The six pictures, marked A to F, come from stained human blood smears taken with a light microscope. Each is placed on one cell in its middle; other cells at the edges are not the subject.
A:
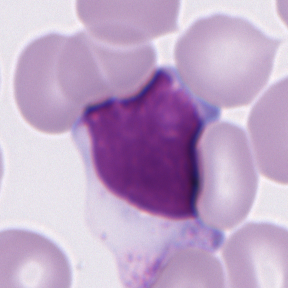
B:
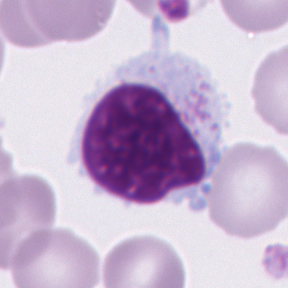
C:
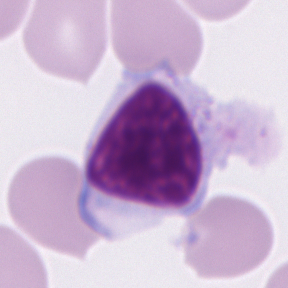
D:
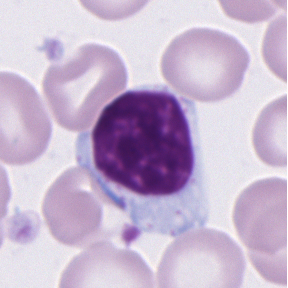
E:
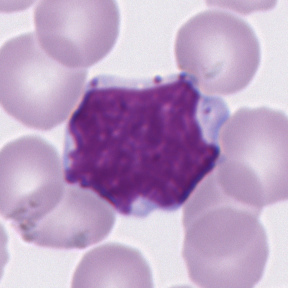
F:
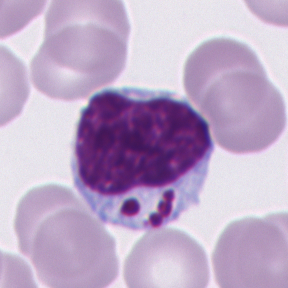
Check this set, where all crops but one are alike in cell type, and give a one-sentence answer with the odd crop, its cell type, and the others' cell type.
Crop D is the only one that is a typical lymphocyte; all the others show large granular lymphocytes.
